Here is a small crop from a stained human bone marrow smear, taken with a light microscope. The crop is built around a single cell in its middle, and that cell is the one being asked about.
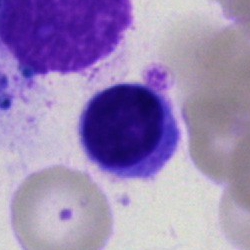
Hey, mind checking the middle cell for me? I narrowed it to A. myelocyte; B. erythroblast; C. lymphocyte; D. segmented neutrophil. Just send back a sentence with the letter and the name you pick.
The centrally positioned cell is a lymphocyte, consistent with option C, which is correct.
